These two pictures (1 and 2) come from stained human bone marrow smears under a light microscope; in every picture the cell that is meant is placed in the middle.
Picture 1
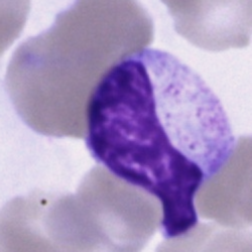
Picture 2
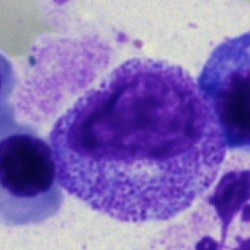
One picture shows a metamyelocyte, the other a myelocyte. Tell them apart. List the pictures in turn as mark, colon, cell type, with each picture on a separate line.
1: metamyelocyte
2: myelocyte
